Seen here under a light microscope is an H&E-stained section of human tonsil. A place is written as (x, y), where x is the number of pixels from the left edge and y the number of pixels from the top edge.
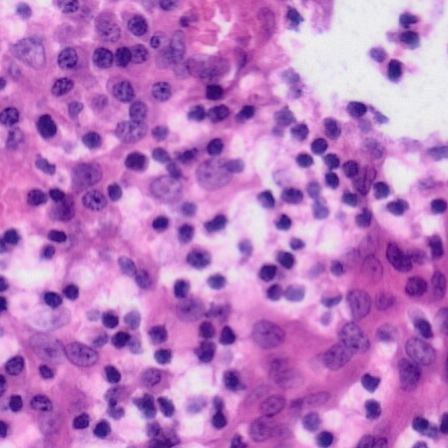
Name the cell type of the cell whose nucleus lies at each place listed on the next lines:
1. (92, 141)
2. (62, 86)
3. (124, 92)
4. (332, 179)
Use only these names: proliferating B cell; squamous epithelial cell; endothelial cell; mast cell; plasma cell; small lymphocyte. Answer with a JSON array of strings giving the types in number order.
["plasma cell", "plasma cell", "plasma cell", "small lymphocyte"]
